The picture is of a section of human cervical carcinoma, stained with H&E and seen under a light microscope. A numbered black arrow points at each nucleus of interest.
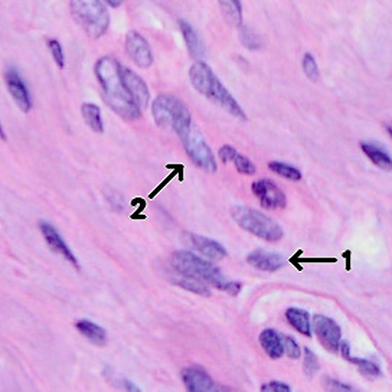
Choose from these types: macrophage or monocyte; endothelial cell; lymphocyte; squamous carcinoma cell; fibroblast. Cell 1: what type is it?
fibroblast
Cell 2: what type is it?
endothelial cell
